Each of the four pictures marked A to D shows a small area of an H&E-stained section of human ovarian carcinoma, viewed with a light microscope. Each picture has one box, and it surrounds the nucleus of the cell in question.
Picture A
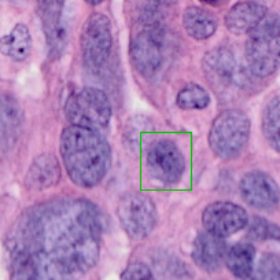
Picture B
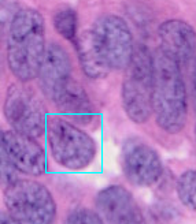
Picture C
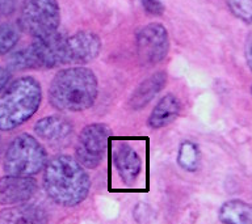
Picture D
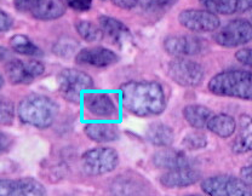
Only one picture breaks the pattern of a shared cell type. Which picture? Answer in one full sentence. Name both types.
Unlike the rest, which show carcinoma cells, picture C shows a “macrophage or monocyte”.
